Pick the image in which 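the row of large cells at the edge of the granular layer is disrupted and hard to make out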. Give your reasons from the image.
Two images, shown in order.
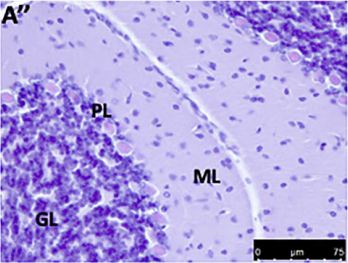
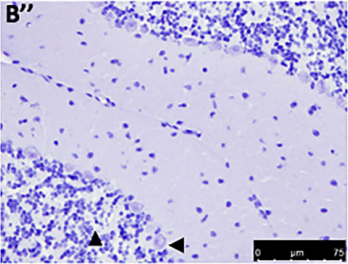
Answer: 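First image: large cells with pale pink cytoplasm sit in a line along the edge of the densely packed granular layer. On this evidence: the second image.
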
